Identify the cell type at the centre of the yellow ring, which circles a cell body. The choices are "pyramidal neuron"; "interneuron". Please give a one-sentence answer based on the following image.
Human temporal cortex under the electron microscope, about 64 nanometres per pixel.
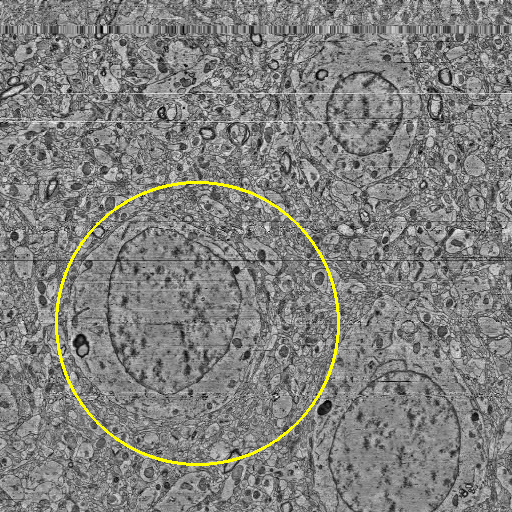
The cell marked by the ring is a pyramidal neuron.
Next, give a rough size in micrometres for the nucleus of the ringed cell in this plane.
Roughly 11 by 9 micrometres is the size of the nucleus in this plane.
